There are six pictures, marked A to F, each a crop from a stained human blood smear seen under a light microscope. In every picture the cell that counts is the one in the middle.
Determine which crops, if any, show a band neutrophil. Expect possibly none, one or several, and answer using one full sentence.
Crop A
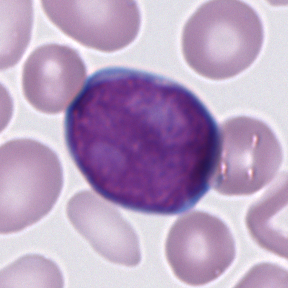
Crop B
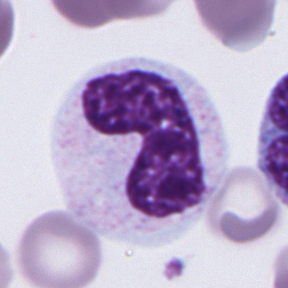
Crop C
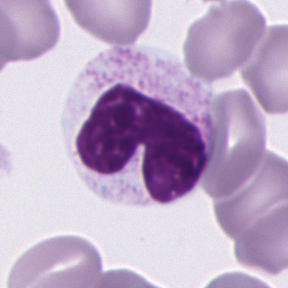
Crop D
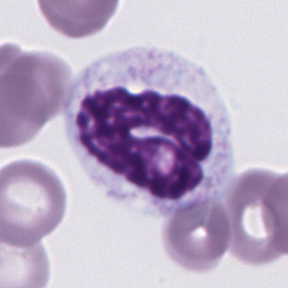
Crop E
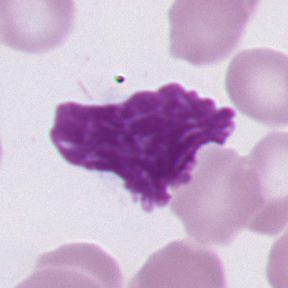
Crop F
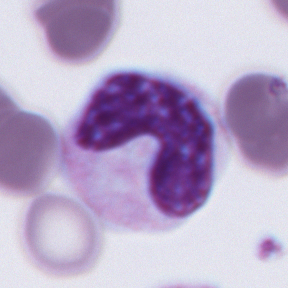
Classified as band neutrophils are the central cells of crops B, C, D and F.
